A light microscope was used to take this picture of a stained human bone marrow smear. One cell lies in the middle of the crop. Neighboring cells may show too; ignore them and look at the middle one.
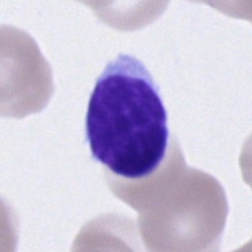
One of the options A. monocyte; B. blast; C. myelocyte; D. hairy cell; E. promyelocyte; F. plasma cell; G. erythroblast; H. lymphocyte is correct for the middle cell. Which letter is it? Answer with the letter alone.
H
